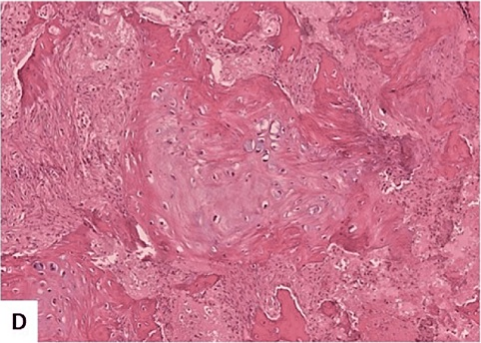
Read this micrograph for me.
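This low-power view shows bone being laid down within a lesion as irregular trabeculae of immature woven bone. The trabeculae stain deep pink and branch and join one another in a disorderly network rather than forming neat parallel plates. Small cells sit in lacunae scattered haphazardly through the matrix. Towards the centre a paler, bluish-pink zone with rounded cells in lacunae stands out against the darker bone around it. Between the trabeculae lies a cellular stroma of spindle cells.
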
